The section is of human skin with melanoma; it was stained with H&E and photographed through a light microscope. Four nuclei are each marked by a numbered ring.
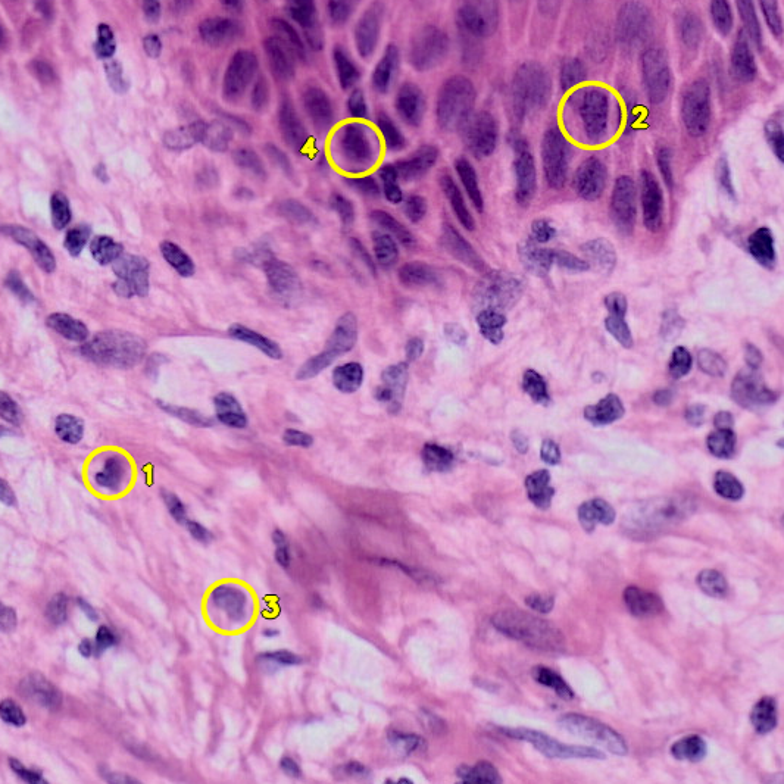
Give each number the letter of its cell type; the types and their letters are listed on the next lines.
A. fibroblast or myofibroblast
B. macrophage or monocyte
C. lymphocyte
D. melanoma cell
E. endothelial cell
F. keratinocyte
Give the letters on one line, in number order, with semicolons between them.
C; F; A; F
